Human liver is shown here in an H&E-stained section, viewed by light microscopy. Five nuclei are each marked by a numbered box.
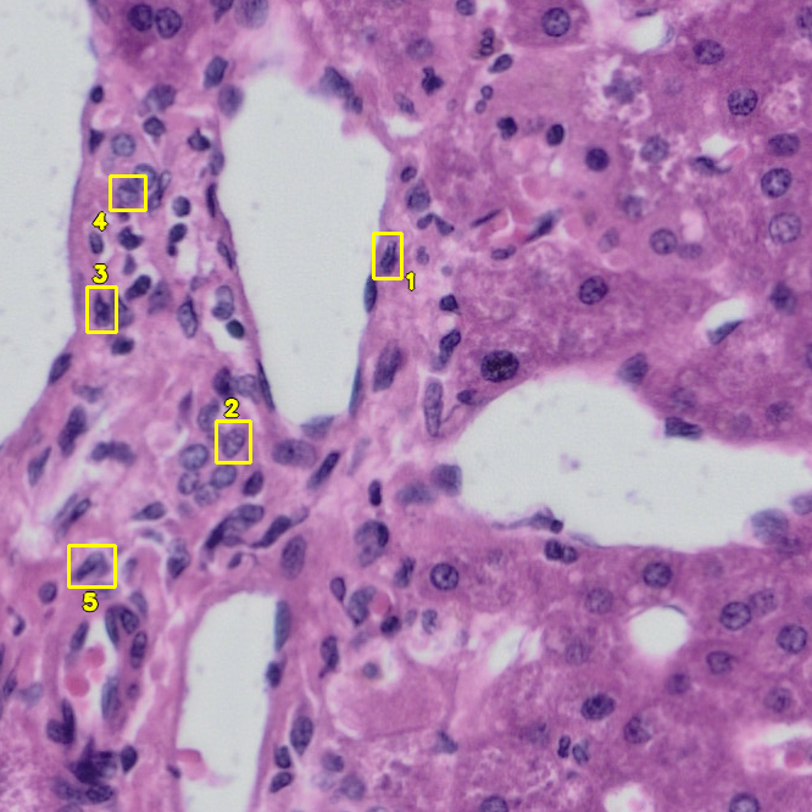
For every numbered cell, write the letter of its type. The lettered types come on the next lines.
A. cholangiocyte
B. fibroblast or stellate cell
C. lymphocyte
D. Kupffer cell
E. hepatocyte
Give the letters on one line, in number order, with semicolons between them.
B; A; B; A; B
